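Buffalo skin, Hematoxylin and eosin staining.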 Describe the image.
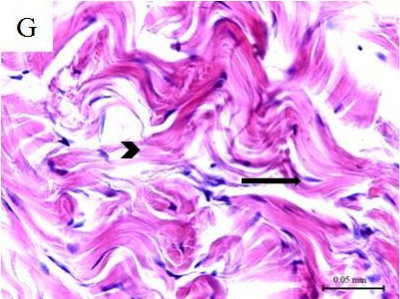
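Dermal connective tissue consists of thick, wavy, pink-staining collagen bundles running in various directions. Thin, elongated dark nuclei of fibrocytes lie flattened between the bundles, with little visible cytoplasm.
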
